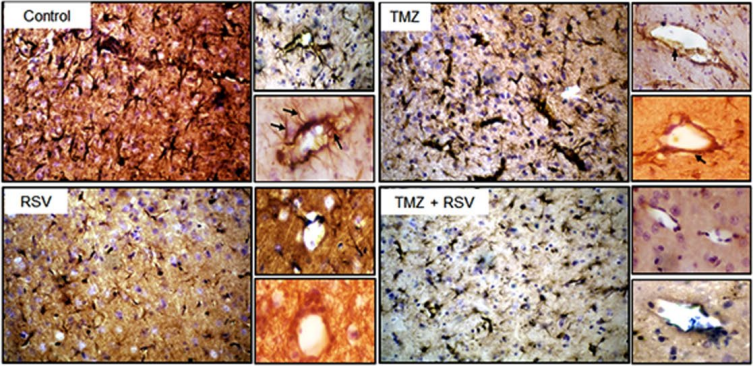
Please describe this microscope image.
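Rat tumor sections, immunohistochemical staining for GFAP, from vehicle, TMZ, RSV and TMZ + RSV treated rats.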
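Scattered among them are round, pale blue nuclei of other cells in a lighter brown to tan background. In one large field the brown is dense and nearly uniform, in others the cells are sparser and the background paler. The small side pictures show open, clear vessel lumens, and against their walls lie dark cells whose processes reach toward and wrap around the vessel.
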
